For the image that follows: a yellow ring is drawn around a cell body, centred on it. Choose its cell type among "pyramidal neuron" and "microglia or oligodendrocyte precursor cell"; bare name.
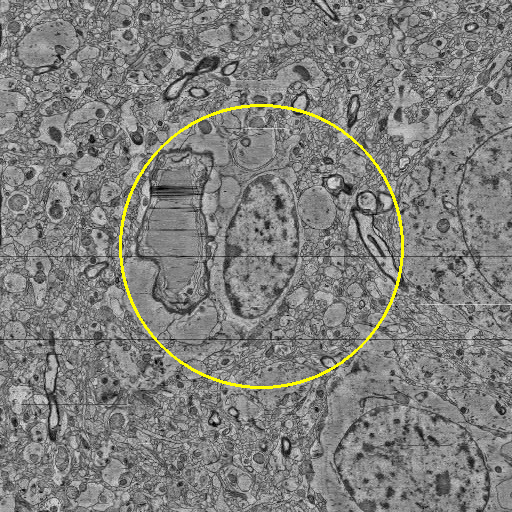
microglia or oligodendrocyte precursor cell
